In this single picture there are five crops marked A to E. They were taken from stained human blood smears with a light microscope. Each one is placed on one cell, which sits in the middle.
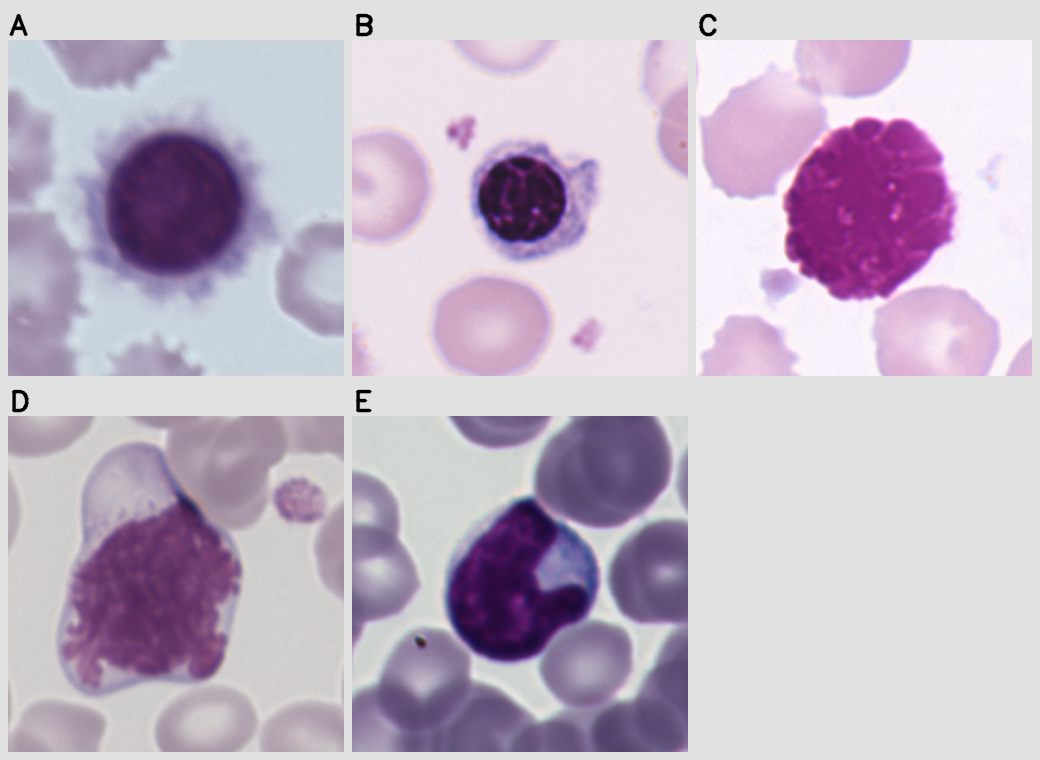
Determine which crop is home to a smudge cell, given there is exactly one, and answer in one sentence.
Here the crop that shows a smudge cell is crop C.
